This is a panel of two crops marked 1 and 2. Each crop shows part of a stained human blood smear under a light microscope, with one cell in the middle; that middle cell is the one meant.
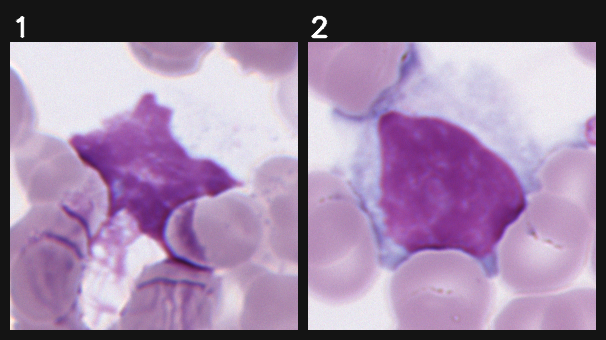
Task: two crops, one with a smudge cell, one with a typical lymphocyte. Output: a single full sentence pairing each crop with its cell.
The middle of crop 1 is occupied by a smudge cell, and the middle of crop 2 by a typical lymphocyte.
